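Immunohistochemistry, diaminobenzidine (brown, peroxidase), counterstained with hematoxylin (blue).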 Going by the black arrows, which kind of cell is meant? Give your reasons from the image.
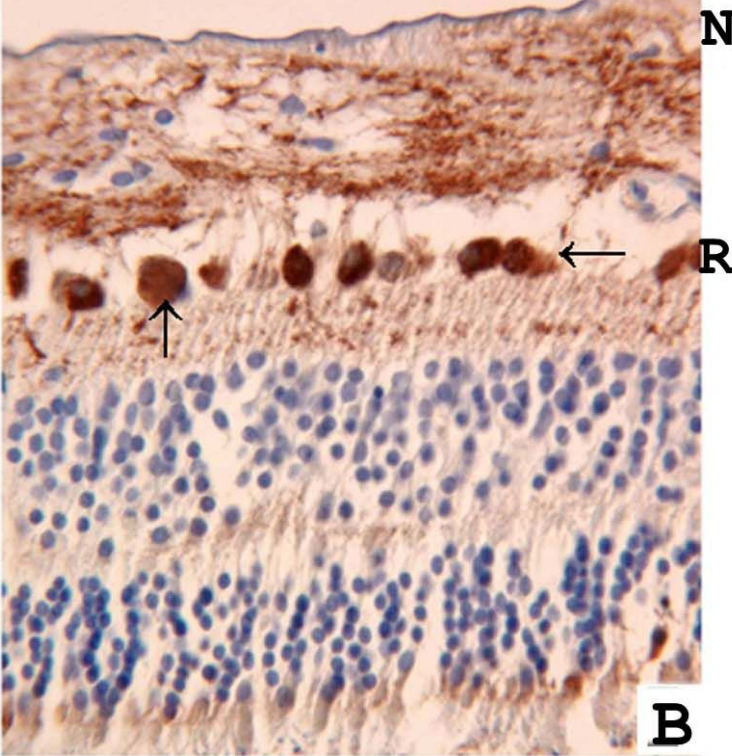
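Retinal ganglion cell bodies. The arrows point to large round cell bodies stained dark brown. These cells lie in a single row beneath a fibrous layer at the inner surface. They are larger than the small blue nuclei of the deeper nuclear layers.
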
